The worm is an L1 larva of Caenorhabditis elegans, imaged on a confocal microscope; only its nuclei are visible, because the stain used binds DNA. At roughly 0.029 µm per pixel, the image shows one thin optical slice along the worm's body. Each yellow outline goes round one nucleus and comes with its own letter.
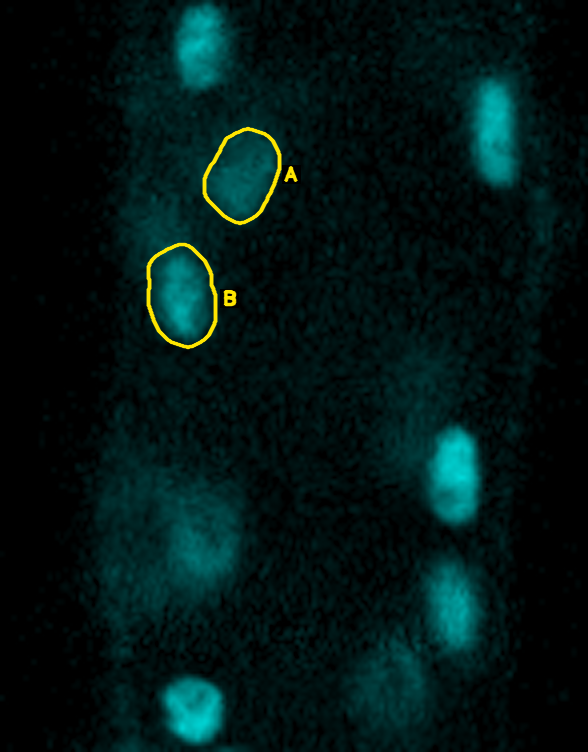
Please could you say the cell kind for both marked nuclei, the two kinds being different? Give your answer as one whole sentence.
A is from an intestinal cell, and B is from a body wall muscle cell.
